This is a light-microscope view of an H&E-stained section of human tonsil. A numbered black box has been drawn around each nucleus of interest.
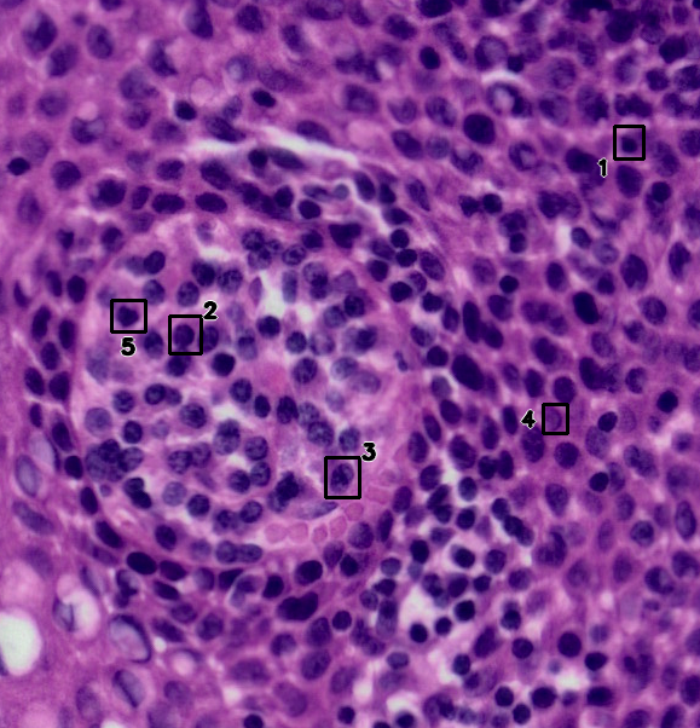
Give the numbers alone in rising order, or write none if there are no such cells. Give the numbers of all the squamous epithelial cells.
1, 4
